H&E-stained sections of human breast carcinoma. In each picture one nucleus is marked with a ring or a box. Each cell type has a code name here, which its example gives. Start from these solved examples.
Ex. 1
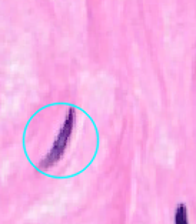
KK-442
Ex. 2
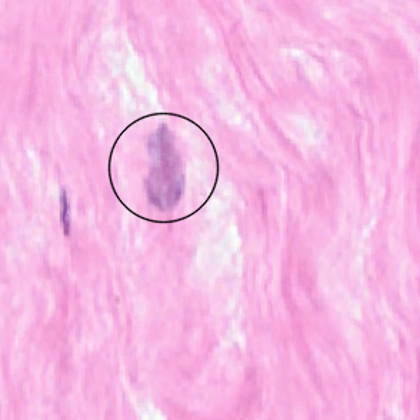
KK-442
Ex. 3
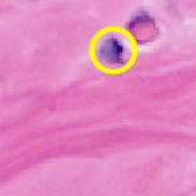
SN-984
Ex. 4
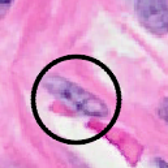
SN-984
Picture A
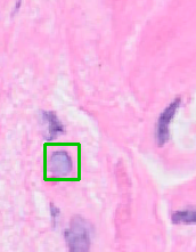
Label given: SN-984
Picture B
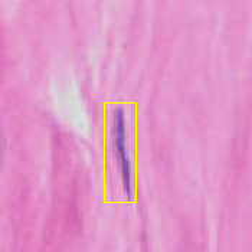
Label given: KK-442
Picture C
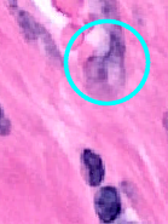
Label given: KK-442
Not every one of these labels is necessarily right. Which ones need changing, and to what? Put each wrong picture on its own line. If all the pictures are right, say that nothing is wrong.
C: SN-984, not KK-442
